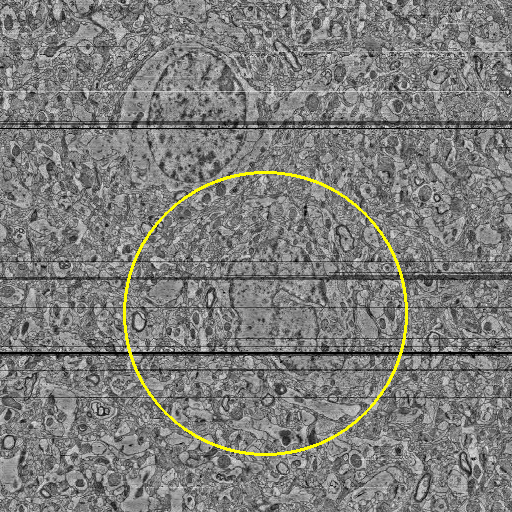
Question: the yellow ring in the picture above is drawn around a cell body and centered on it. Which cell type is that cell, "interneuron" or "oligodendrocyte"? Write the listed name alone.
interneuron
